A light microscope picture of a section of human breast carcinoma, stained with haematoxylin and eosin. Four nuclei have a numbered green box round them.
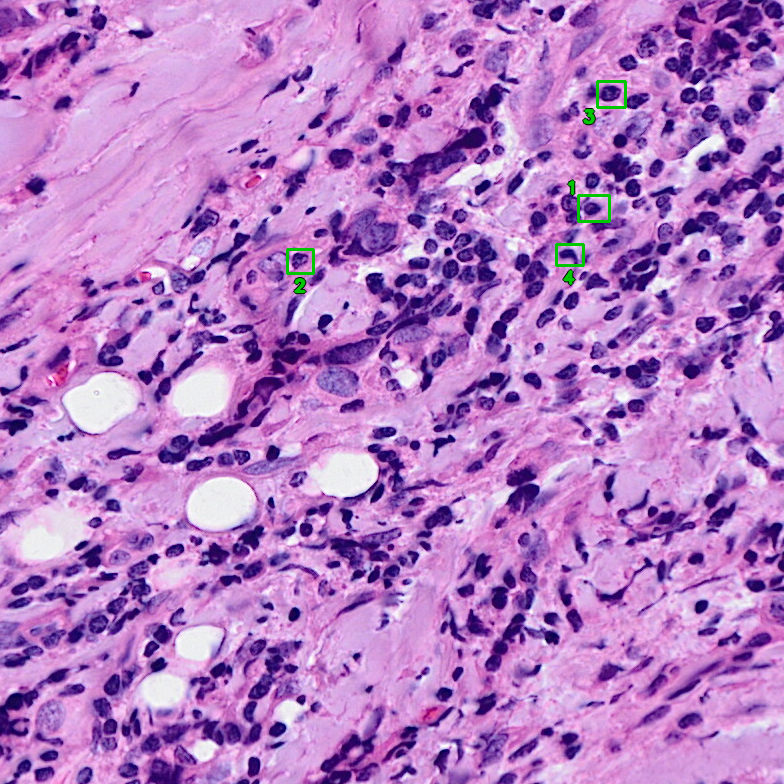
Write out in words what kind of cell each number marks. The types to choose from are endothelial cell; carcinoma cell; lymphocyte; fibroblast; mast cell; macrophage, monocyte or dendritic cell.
Cells 1, 3 and 4 are lymphocytes. Cell 2 is an endothelial cell.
